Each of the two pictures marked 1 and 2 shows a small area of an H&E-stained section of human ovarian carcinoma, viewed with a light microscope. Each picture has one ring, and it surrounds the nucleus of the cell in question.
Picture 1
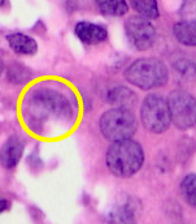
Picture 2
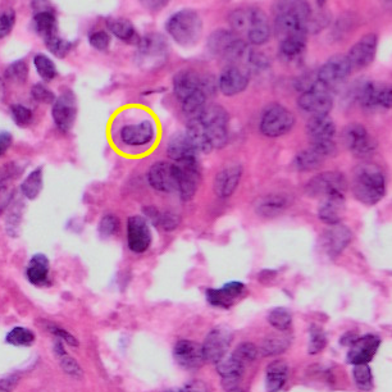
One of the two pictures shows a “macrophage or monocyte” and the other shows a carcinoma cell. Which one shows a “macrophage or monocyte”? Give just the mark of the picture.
2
